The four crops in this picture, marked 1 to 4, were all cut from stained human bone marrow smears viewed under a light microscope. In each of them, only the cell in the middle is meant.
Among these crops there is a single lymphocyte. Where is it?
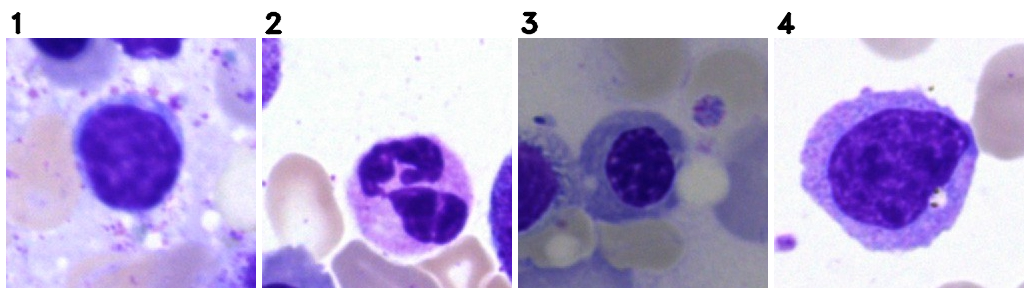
1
